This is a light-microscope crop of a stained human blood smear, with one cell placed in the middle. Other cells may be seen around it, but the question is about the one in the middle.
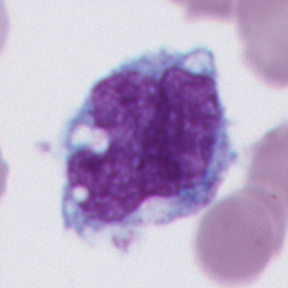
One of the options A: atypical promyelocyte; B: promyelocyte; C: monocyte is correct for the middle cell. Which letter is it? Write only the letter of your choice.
C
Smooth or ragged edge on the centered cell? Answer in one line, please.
The periphery of this cell is uneven, with ragged portions or projections.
